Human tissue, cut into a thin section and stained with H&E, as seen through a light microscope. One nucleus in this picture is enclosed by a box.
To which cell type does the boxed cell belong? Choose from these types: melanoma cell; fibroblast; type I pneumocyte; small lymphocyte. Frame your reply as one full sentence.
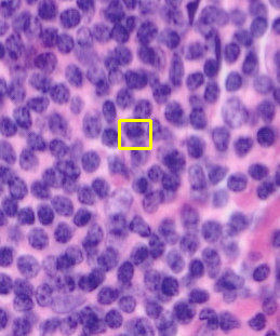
Among the cells in this section, the boxed cell is a small lymphocyte.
